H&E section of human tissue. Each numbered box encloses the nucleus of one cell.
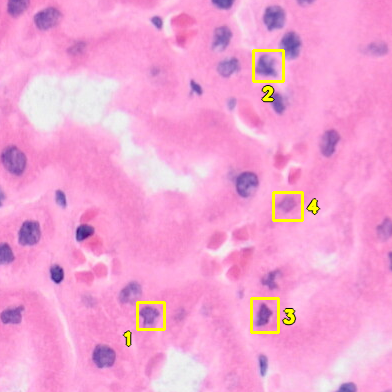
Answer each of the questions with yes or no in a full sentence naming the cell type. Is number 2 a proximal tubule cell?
No, the cell labelled number 2 is not a proximal tubule cell; it is a loop of Henle or distal tubule cell.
